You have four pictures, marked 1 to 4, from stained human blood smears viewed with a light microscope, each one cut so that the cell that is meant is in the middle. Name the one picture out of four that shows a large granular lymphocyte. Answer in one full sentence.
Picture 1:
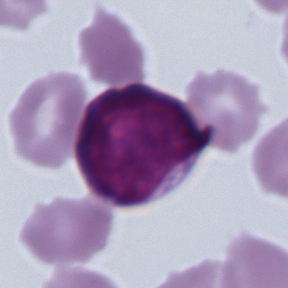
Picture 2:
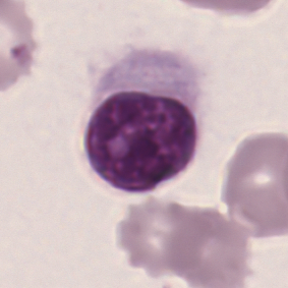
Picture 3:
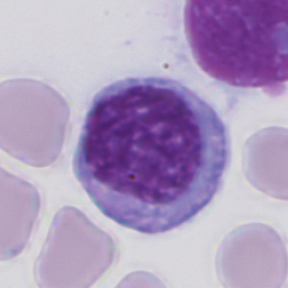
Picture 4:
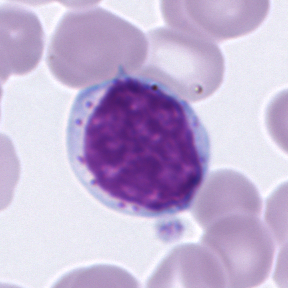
Picture 4 shows the large granular lymphocyte.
